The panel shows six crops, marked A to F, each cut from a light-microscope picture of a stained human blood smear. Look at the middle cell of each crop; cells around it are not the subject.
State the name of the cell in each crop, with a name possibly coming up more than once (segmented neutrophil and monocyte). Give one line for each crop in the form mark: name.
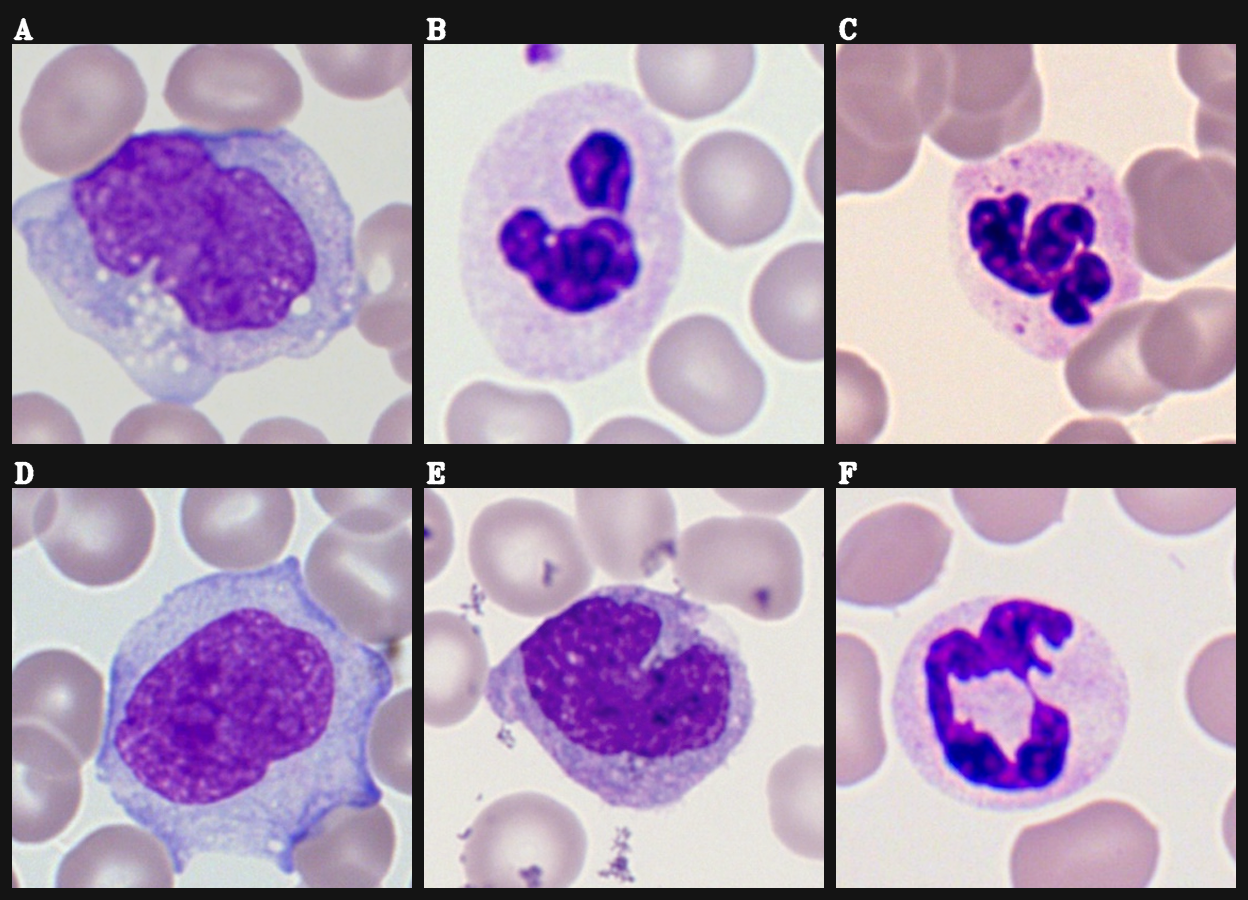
A: monocyte
B: segmented neutrophil
C: segmented neutrophil
D: monocyte
E: monocyte
F: segmented neutrophil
